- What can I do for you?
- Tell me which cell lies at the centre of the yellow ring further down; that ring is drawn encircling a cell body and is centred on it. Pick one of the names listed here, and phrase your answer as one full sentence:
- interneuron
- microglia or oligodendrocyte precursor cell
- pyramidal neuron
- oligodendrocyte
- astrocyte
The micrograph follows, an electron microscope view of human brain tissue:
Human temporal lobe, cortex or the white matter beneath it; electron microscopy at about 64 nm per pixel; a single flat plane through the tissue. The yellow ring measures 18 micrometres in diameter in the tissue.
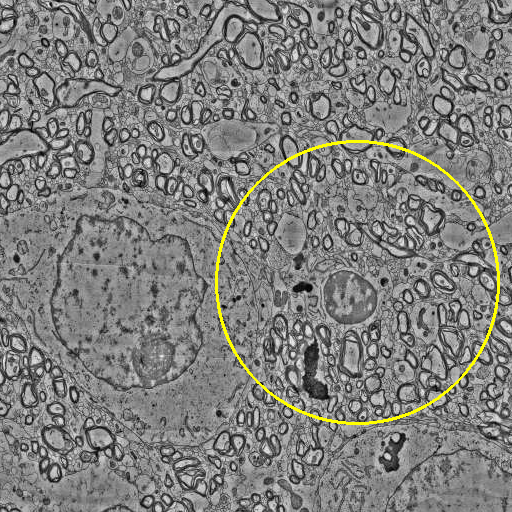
The cell whose body lies at the centre of the yellow ring is a microglial cell or oligodendrocyte precursor cell.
